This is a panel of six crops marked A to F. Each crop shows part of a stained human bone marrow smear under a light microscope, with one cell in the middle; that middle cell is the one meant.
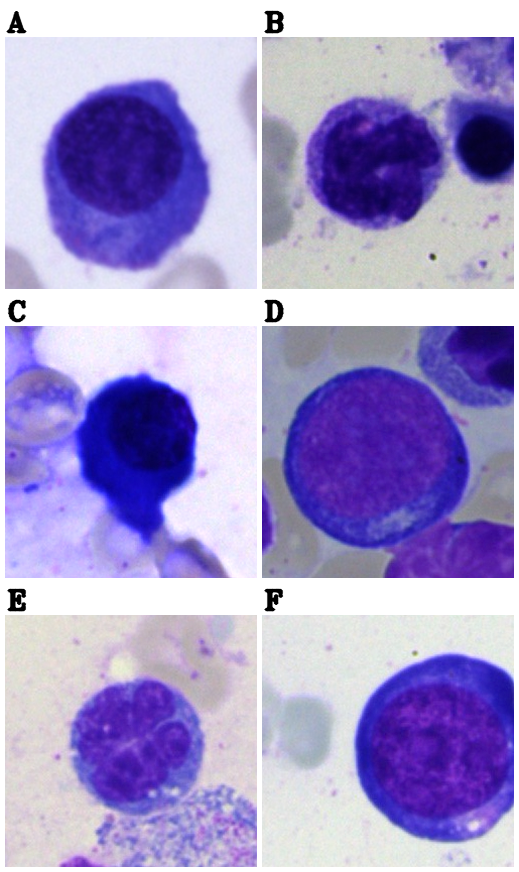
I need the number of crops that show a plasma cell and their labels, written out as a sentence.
Among the crops, A and C show plasma cells, making two in total.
